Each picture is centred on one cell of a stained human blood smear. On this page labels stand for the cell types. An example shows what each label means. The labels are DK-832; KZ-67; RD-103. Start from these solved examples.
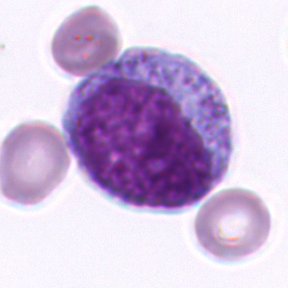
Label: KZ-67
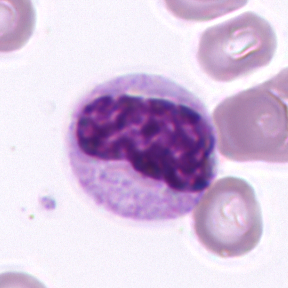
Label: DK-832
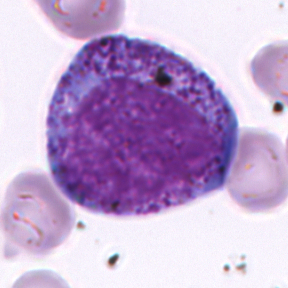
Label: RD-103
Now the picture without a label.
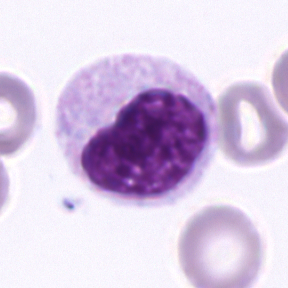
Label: DK-832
